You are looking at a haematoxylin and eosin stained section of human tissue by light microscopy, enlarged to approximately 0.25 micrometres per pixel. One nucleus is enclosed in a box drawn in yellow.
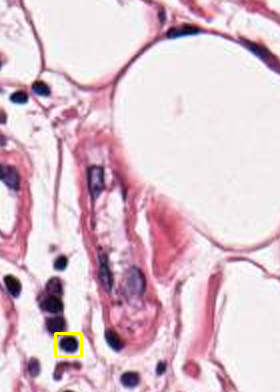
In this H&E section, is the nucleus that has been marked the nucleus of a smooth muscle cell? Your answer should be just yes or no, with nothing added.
no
